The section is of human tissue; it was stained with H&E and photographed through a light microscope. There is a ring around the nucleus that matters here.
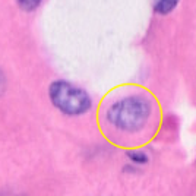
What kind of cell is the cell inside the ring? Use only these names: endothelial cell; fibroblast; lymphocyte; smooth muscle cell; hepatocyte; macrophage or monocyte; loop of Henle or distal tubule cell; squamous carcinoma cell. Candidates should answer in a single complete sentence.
In this section, the cell inside the ring is a loop of Henle or distal tubule cell.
